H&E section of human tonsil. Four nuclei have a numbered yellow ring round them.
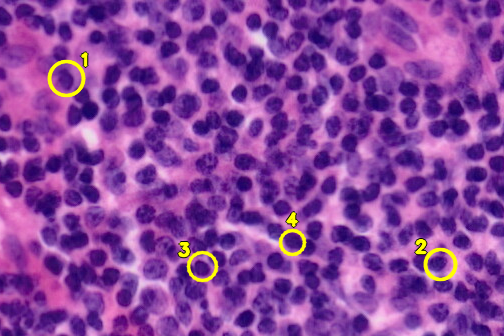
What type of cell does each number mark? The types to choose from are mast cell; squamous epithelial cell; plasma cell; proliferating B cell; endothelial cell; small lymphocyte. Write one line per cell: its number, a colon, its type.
1: endothelial cell
2: small lymphocyte
3: small lymphocyte
4: small lymphocyte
